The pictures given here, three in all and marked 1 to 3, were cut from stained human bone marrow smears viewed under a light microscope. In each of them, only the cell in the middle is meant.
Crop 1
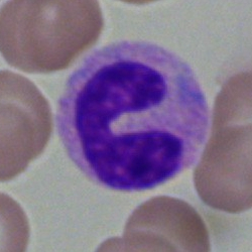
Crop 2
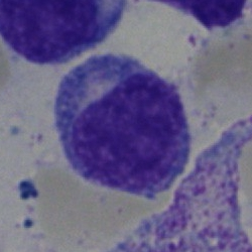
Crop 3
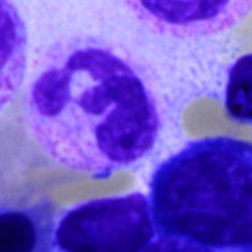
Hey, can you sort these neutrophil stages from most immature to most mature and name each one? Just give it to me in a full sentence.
The series, from least to most mature, is crop 2 (a myelocyte), crop 1 (a band neutrophil) and crop 3 (a segmented neutrophil).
